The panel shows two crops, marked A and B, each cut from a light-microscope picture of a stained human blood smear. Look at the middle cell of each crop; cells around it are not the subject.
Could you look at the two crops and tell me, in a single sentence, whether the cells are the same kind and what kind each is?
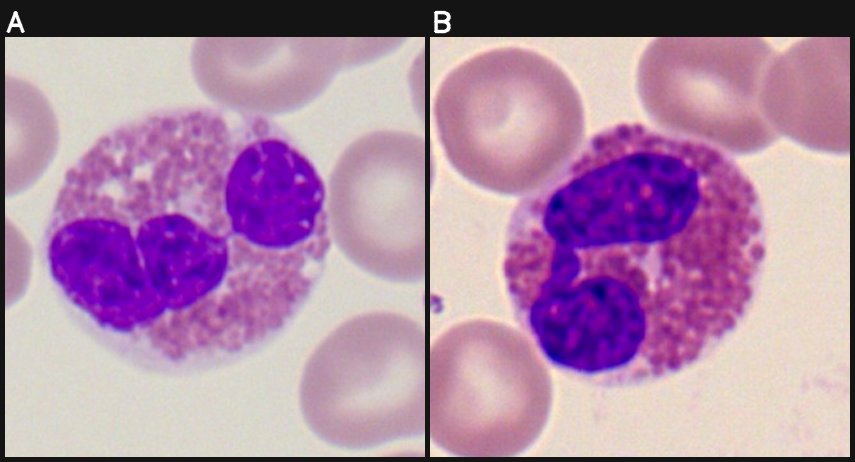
Yes, with regard to both crops, the central cells are eosinophils.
